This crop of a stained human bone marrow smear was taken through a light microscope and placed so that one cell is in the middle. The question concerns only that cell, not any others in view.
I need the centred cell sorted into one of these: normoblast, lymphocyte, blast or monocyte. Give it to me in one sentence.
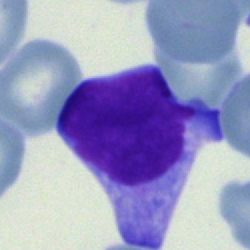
In the centre of this crop there is a lymphocyte.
